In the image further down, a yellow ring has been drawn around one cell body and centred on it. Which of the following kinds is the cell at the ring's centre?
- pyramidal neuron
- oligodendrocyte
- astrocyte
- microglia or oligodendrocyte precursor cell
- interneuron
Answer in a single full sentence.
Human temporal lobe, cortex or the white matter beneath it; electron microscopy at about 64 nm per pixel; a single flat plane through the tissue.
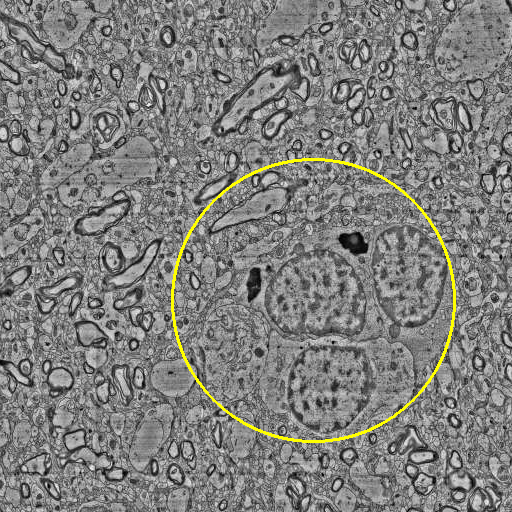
In the picture, the cell sitting at the centre of the yellow ring is an oligodendrocyte.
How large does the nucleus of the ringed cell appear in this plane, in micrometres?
The nucleus is about 6 micrometres across in this plane.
